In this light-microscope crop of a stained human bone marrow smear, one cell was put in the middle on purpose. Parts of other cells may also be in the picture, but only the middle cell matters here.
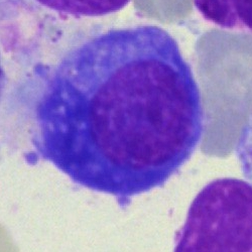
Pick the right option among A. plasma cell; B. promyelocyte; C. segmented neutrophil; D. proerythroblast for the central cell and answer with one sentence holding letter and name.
Option A is the correct selection, for the cell at the centre is a plasma cell.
